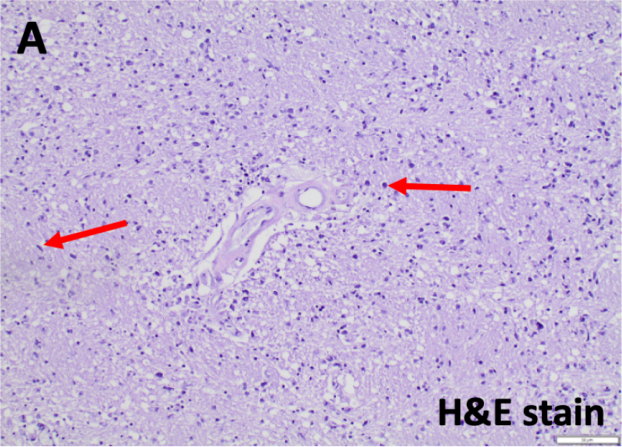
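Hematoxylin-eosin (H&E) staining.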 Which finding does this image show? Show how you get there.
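Many dark nuclei are scattered densely through the pale pink neuropil. Cells are spread diffusely rather than in one cluster. So: parenchymal hypercellularity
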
